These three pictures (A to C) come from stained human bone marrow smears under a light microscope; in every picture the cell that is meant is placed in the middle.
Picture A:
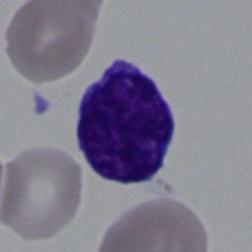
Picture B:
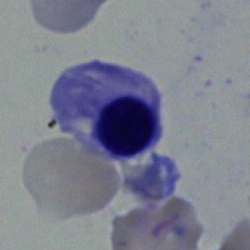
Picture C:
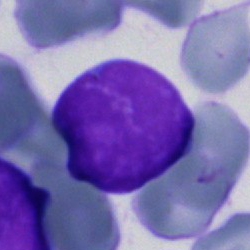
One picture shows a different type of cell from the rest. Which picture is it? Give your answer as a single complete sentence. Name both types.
The others show blasts, but picture B shows an erythroblast.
